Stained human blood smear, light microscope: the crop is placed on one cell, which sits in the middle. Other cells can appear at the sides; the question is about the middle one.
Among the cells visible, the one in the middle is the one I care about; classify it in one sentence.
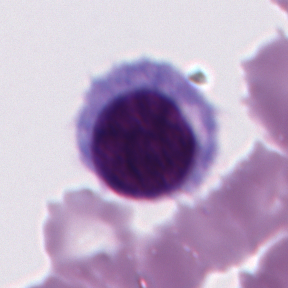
The cell at the central position in this crop is a hairy cell.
